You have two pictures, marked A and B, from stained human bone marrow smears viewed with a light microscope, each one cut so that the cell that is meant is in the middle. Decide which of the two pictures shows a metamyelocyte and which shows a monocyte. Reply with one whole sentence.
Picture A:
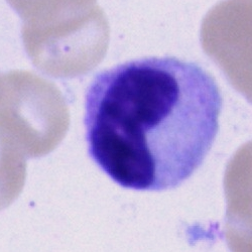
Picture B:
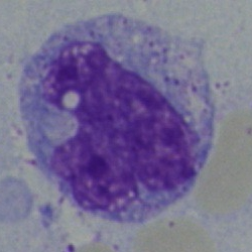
In picture A the cell is a metamyelocyte; in picture B, a monocyte.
